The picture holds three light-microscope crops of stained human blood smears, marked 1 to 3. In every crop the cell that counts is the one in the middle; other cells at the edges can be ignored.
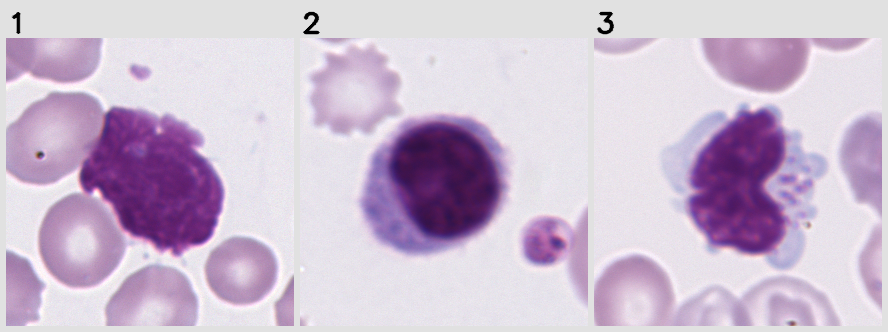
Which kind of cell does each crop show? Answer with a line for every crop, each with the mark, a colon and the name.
1: smudge cell
2: hairy cell
3: large granular lymphocyte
